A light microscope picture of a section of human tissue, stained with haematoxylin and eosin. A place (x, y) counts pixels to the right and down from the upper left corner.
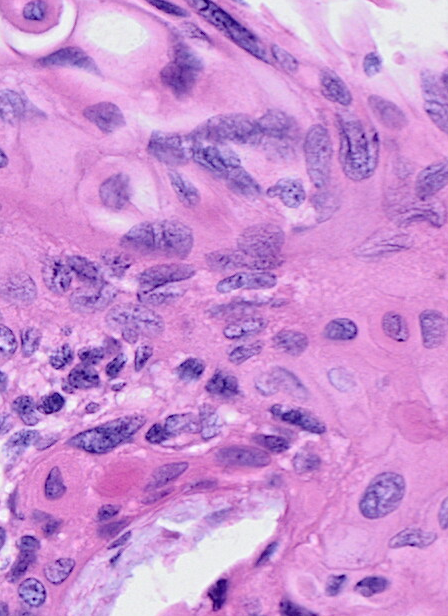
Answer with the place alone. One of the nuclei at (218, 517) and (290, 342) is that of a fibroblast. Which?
(218, 517)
